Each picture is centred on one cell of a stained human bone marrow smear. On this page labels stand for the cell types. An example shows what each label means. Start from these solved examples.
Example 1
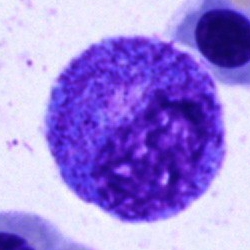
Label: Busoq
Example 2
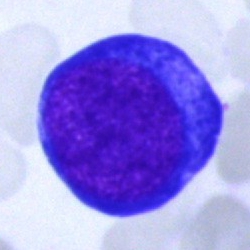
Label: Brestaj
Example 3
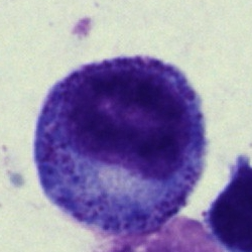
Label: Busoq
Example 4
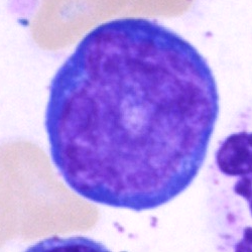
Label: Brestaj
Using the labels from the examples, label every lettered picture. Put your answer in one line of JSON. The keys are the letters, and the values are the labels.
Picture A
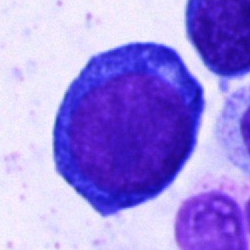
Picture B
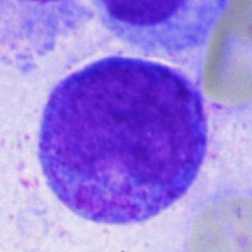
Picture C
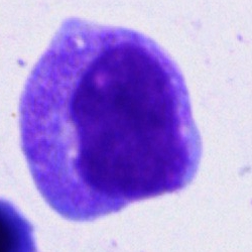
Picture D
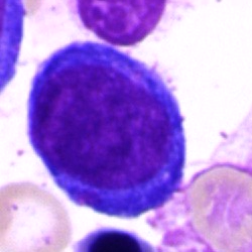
{"A": "Brestaj", "B": "Busoq", "C": "Busoq", "D": "Brestaj"}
